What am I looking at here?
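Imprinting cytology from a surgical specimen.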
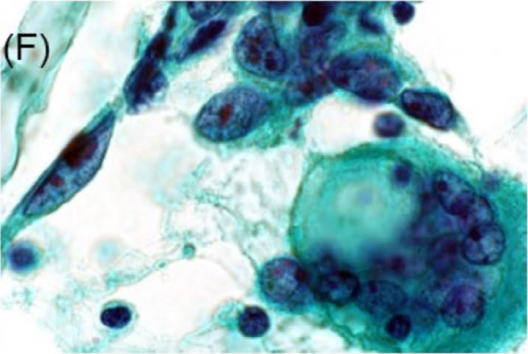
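At the lower right a large cell with abundant green cytoplasm holds a pale rounded vacuole, with several nuclei crowded against it. At the upper left lie elongated, spindle-like cells with stretched nuclei, resembling the lining cells of vessels.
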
